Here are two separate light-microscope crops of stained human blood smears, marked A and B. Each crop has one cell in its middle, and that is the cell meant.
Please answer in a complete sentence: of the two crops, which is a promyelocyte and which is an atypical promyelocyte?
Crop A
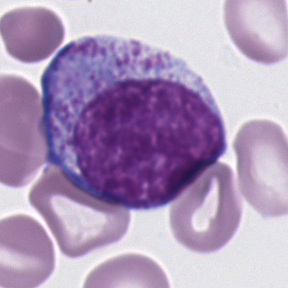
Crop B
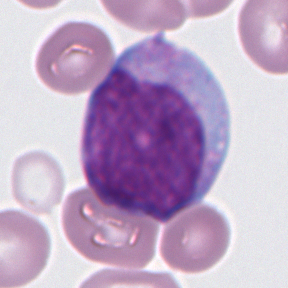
In this set, crop A is a promyelocyte and crop B is an atypical promyelocyte.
